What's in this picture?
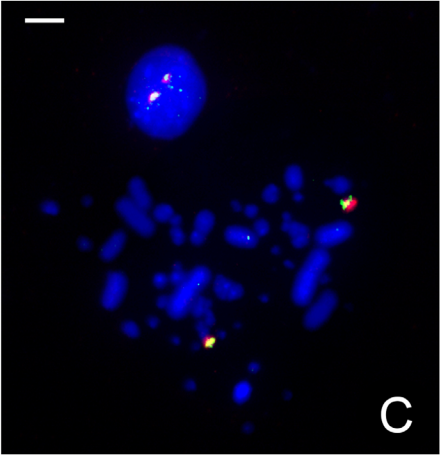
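Long rod-shaped chromosomes lie among many small dot-like ones. On two small chromosomes, one at the upper right and one at the lower middle, green and red labels lie together, side by side or overlapping to yellow. The interphase nucleus holds two bright spots where red and green coincide, plus a few fainter green dots.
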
